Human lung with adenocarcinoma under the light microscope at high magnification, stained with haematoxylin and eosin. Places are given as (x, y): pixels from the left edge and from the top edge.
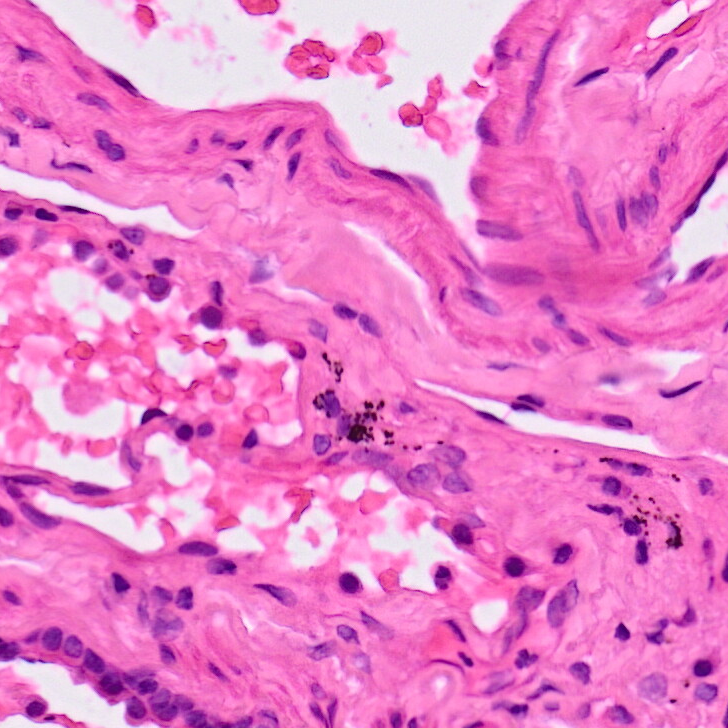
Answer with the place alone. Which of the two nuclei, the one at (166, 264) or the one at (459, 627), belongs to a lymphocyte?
(166, 264)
